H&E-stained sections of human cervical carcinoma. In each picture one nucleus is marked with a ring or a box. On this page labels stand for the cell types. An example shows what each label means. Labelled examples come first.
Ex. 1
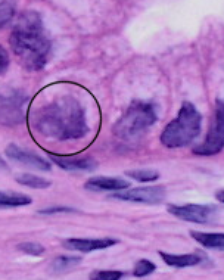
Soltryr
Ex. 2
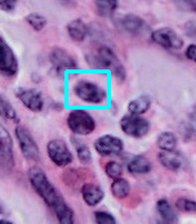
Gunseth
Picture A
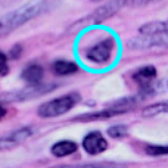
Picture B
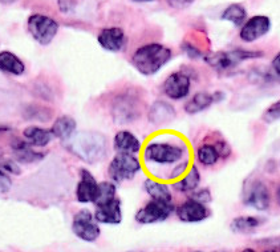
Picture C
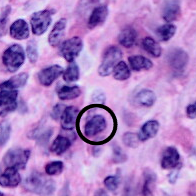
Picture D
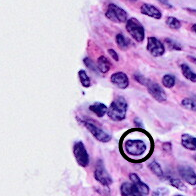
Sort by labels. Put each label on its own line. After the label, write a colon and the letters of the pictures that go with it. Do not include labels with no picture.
Gunseth: A, B, C, D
